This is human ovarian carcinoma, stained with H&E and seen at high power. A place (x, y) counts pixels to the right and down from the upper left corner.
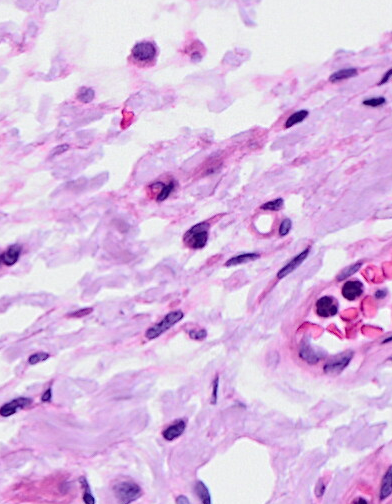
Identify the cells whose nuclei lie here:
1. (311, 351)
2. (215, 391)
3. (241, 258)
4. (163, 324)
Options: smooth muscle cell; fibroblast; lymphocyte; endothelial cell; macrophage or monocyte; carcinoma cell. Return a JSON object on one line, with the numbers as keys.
{"1": "endothelial cell", "2": "fibroblast", "3": "fibroblast", "4": "macrophage or monocyte"}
